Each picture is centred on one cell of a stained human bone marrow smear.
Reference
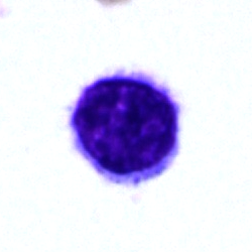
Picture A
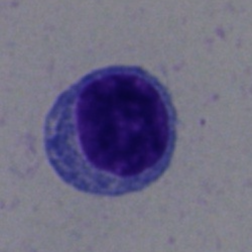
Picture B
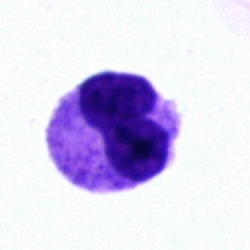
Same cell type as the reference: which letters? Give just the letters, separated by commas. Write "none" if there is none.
A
